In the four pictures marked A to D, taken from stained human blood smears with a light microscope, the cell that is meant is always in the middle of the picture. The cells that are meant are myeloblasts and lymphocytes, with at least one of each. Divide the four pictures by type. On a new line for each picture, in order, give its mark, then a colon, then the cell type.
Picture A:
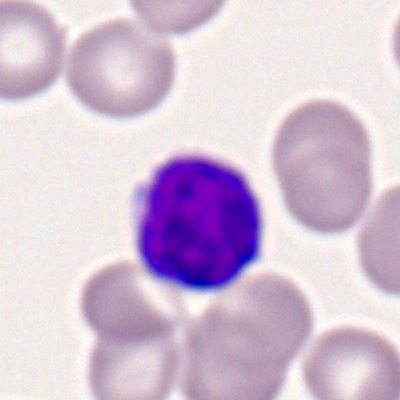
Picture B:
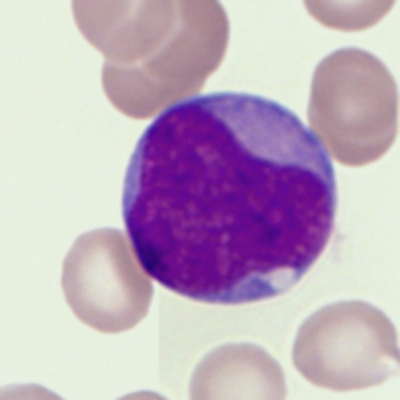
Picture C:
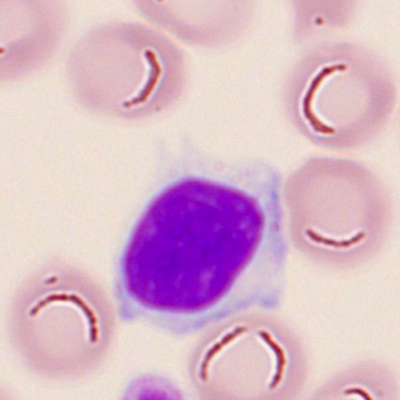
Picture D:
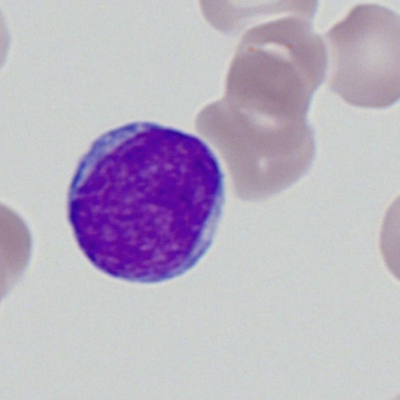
A: lymphocyte
B: myeloblast
C: lymphocyte
D: myeloblast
